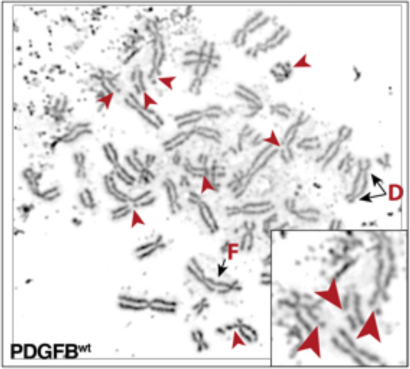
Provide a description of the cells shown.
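The chromosomes are rod-shaped with paired sister chromatids, many lying close together or overlapping. Lettered arrows indicate individual abnormal chromosomes.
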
